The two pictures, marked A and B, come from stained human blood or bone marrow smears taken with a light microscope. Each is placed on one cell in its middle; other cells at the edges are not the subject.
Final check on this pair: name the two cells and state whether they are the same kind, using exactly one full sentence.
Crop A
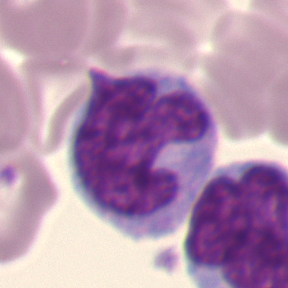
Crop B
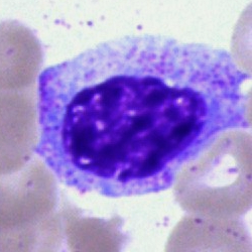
No, what crop A shows is a monocyte, and what crop B shows is a myelocyte.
